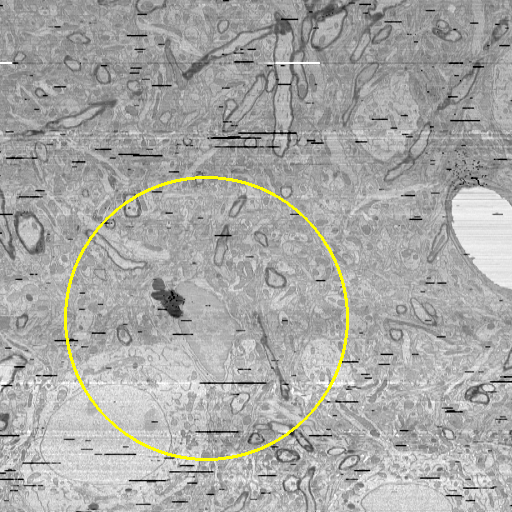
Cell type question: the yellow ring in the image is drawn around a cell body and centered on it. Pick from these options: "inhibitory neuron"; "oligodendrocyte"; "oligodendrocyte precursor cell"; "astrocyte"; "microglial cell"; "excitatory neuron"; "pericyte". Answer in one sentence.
The ringed cell at the center is a microglial cell.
